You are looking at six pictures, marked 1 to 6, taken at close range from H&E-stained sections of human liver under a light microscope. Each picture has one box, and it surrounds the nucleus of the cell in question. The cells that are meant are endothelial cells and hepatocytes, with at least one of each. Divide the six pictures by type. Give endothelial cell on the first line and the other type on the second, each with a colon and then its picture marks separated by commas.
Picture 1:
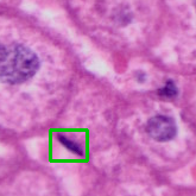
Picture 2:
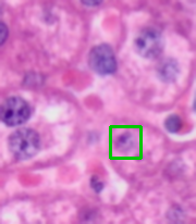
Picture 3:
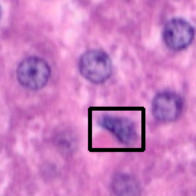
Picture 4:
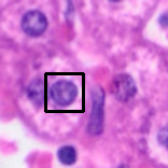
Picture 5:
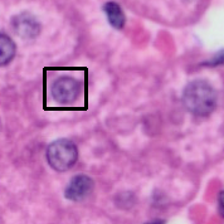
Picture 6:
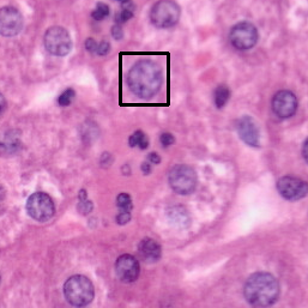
endothelial cell: 1, 3
hepatocyte: 2, 4, 5, 6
